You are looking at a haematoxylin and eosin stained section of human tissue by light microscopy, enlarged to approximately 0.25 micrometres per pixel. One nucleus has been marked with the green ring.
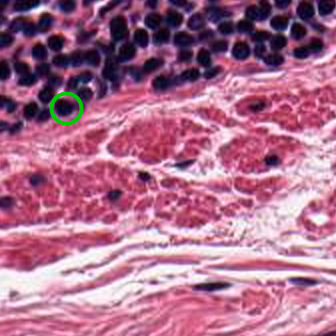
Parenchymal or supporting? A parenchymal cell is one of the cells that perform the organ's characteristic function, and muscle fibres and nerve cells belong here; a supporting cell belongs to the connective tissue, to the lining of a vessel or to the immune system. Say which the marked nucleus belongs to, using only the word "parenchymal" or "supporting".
supporting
